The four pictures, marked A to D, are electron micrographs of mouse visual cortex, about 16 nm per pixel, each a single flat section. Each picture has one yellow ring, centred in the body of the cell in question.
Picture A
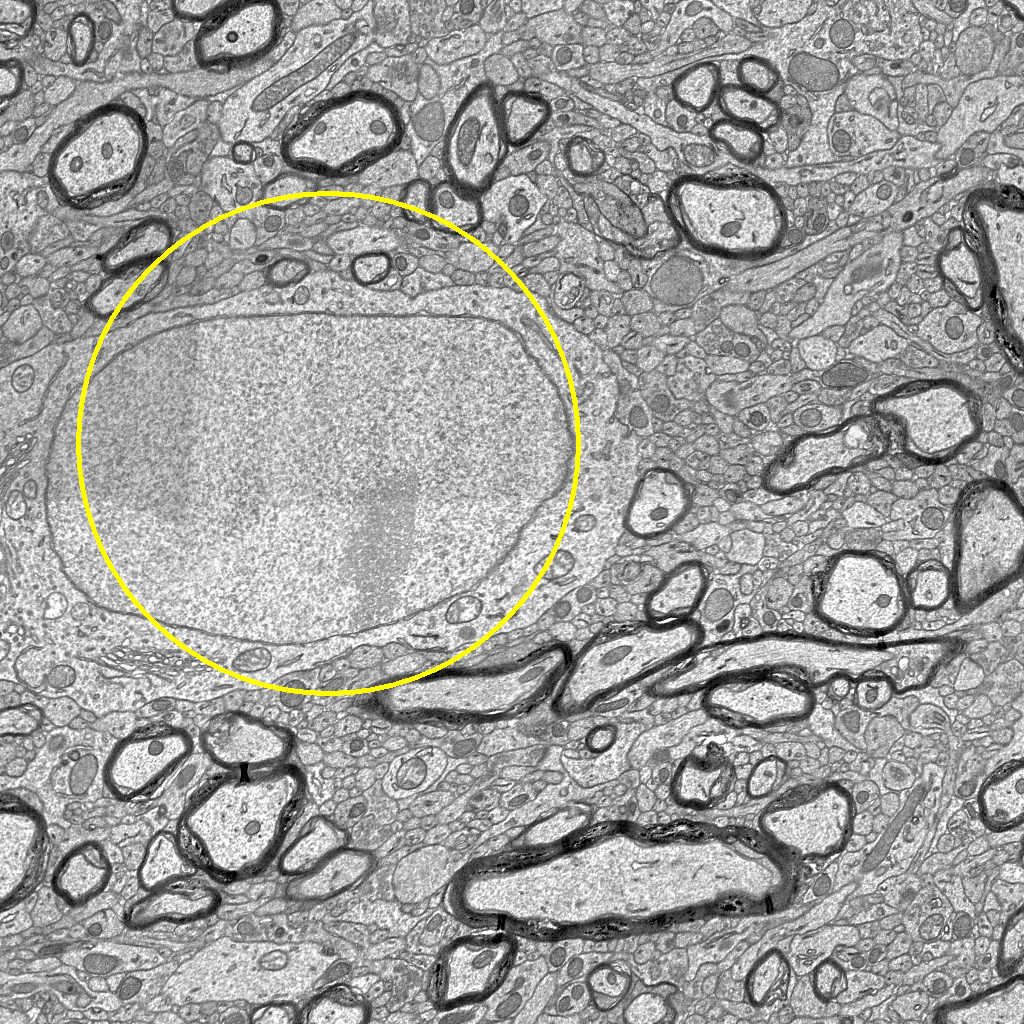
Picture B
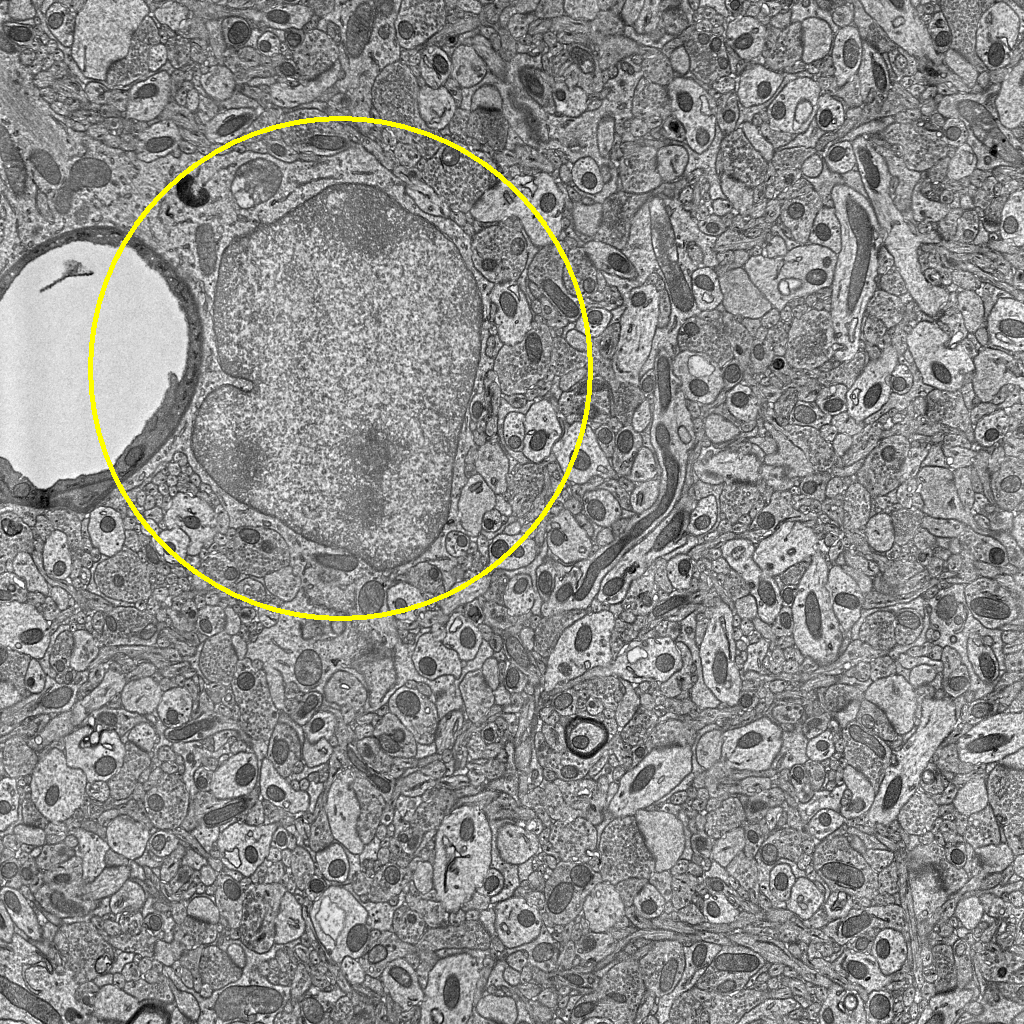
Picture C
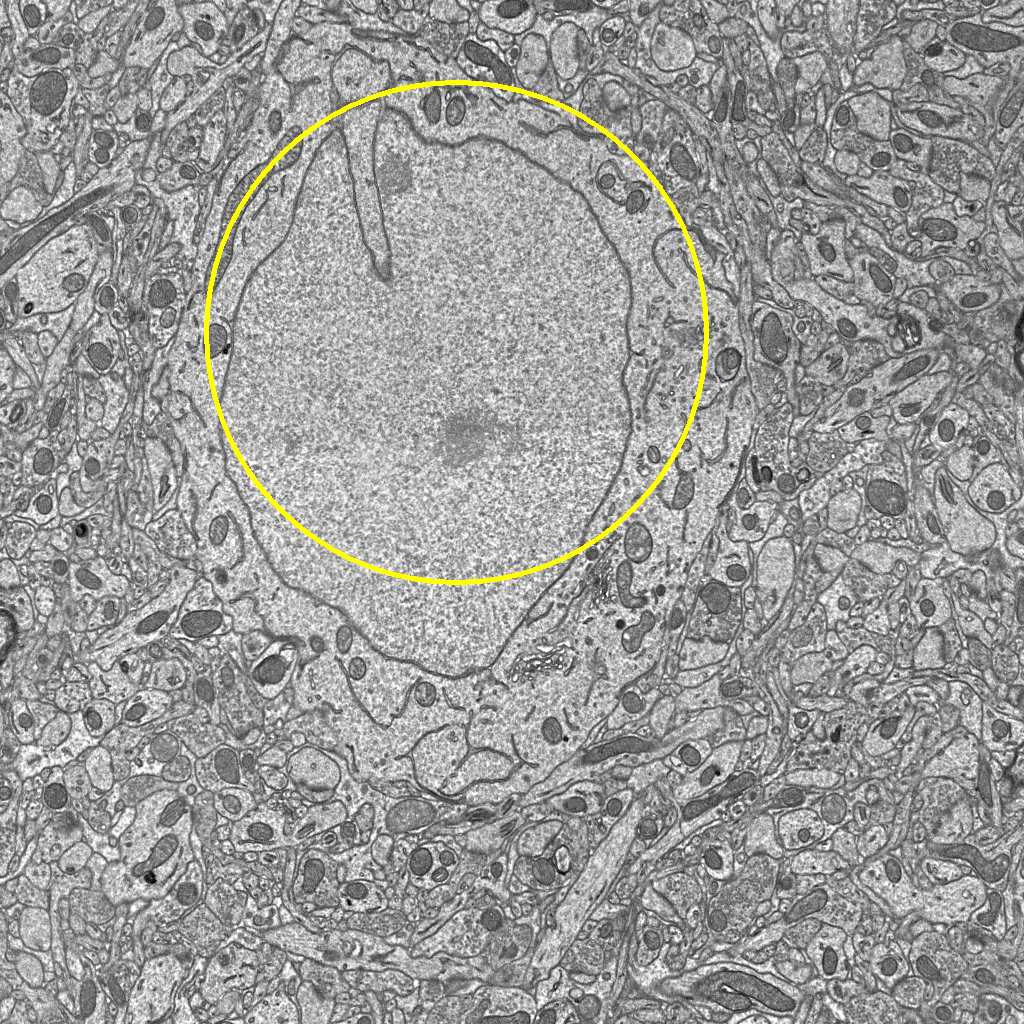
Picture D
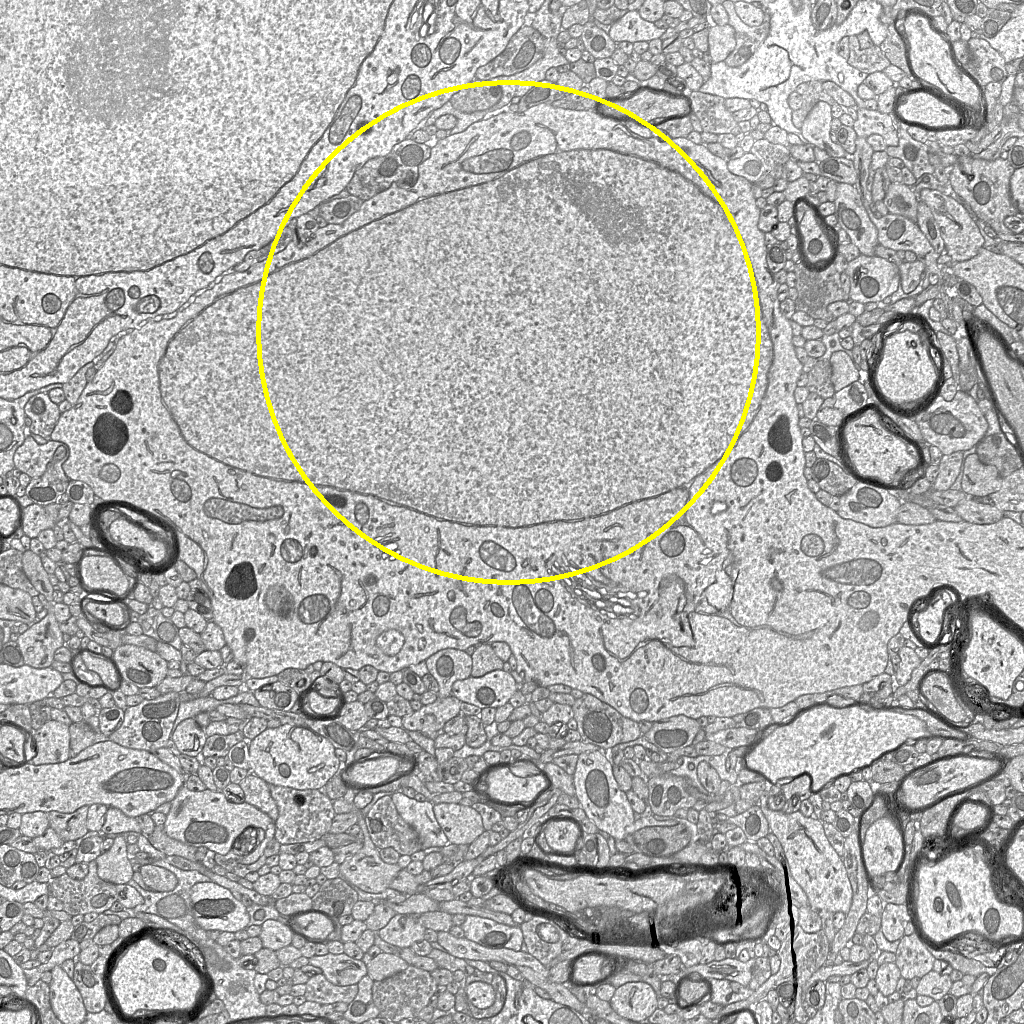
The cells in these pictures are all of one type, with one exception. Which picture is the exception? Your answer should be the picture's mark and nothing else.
B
